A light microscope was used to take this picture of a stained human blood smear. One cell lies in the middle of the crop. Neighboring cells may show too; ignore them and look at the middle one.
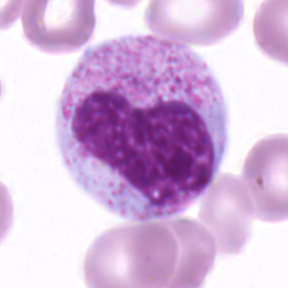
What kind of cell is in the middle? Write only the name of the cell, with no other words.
metamyelocyte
